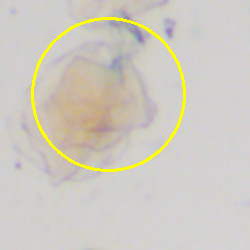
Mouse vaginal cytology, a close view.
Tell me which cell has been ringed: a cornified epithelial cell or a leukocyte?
It is a cornified epithelial cell.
